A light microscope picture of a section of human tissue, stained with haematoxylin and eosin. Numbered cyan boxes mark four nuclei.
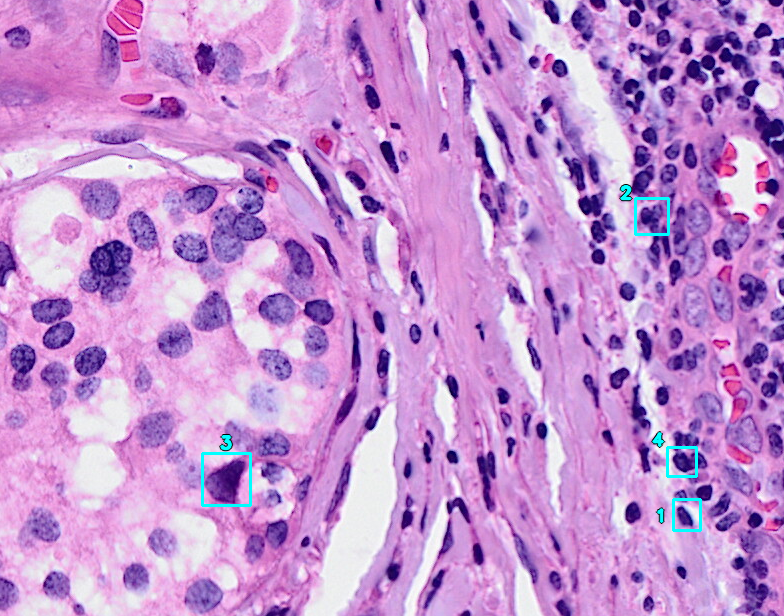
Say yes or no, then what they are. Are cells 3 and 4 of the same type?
No, while cell 3 is a carcinoma cell, cell 4 is a lymphocyte.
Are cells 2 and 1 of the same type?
Yes, cells 2 and 1 both belong among the lymphocytes.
